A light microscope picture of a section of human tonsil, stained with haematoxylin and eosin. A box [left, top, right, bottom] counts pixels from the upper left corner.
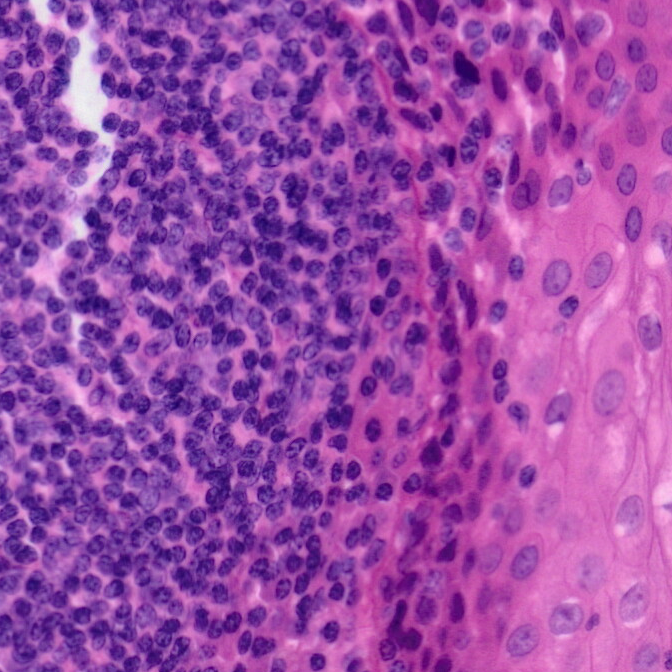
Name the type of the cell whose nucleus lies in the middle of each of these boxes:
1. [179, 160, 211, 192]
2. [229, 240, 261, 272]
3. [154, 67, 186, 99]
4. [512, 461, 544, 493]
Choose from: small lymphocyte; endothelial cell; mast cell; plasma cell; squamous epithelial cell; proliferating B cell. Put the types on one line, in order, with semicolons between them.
small lymphocyte; small lymphocyte; small lymphocyte; squamous epithelial cell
